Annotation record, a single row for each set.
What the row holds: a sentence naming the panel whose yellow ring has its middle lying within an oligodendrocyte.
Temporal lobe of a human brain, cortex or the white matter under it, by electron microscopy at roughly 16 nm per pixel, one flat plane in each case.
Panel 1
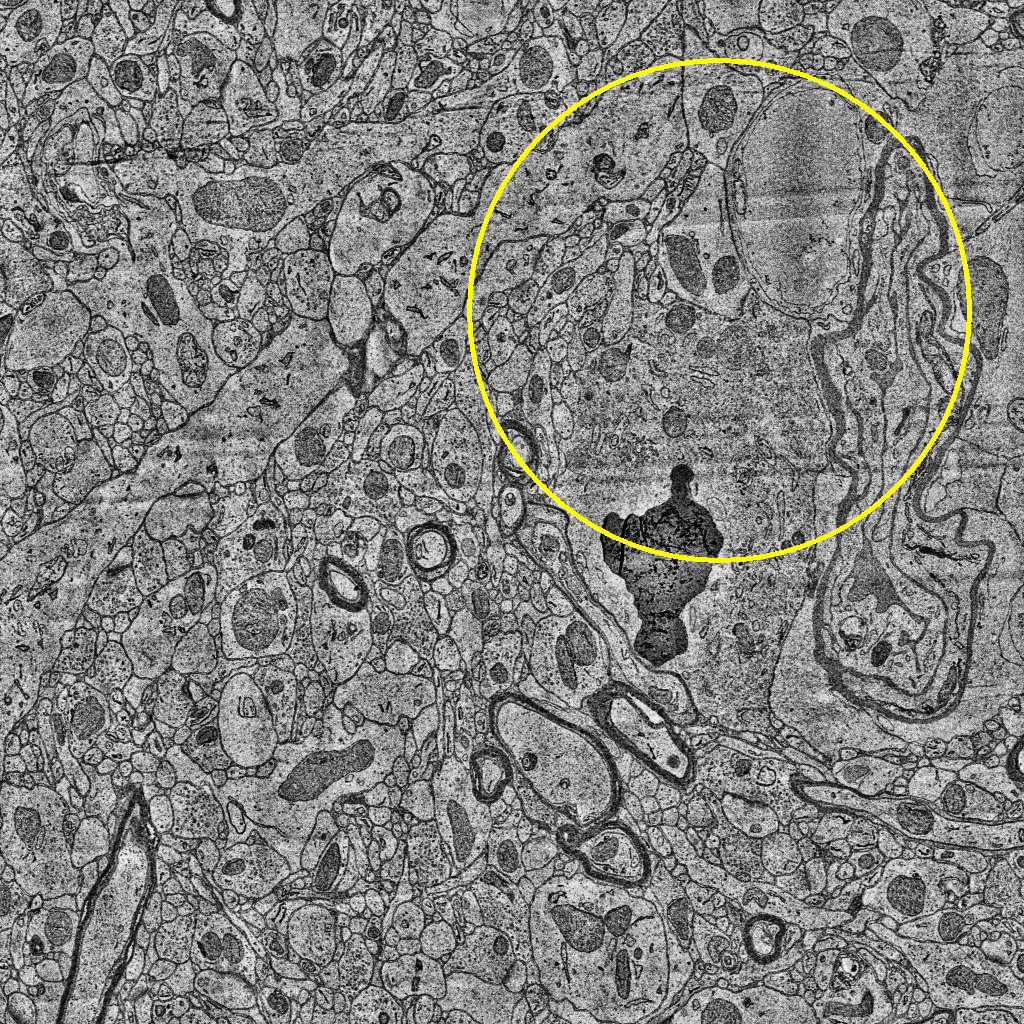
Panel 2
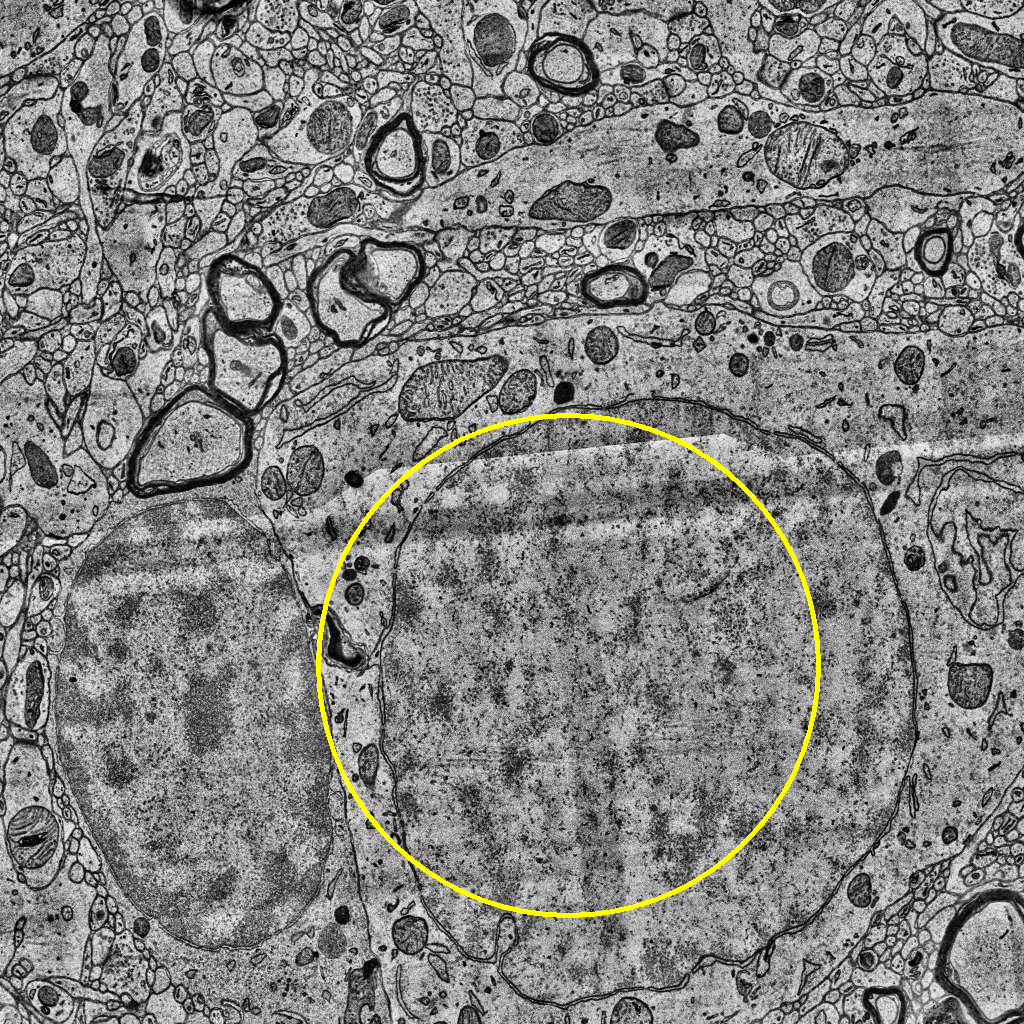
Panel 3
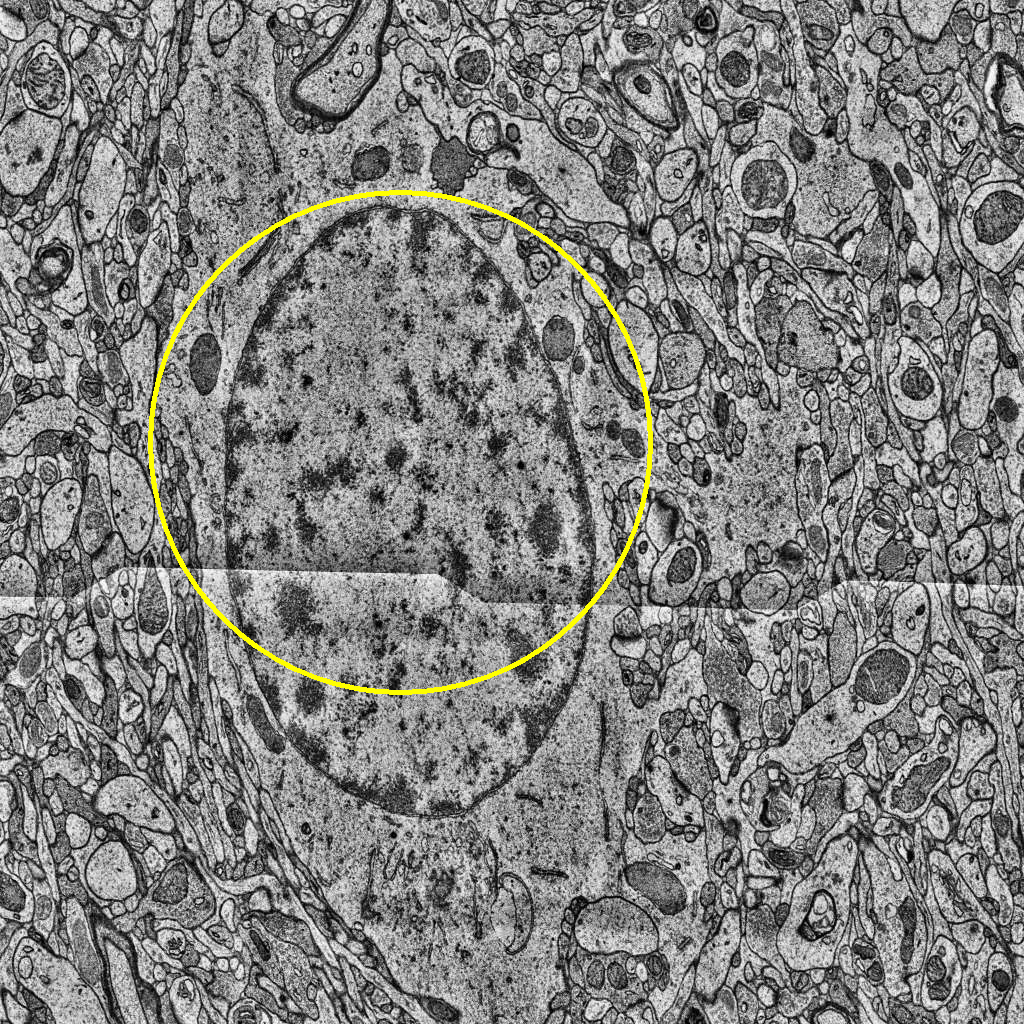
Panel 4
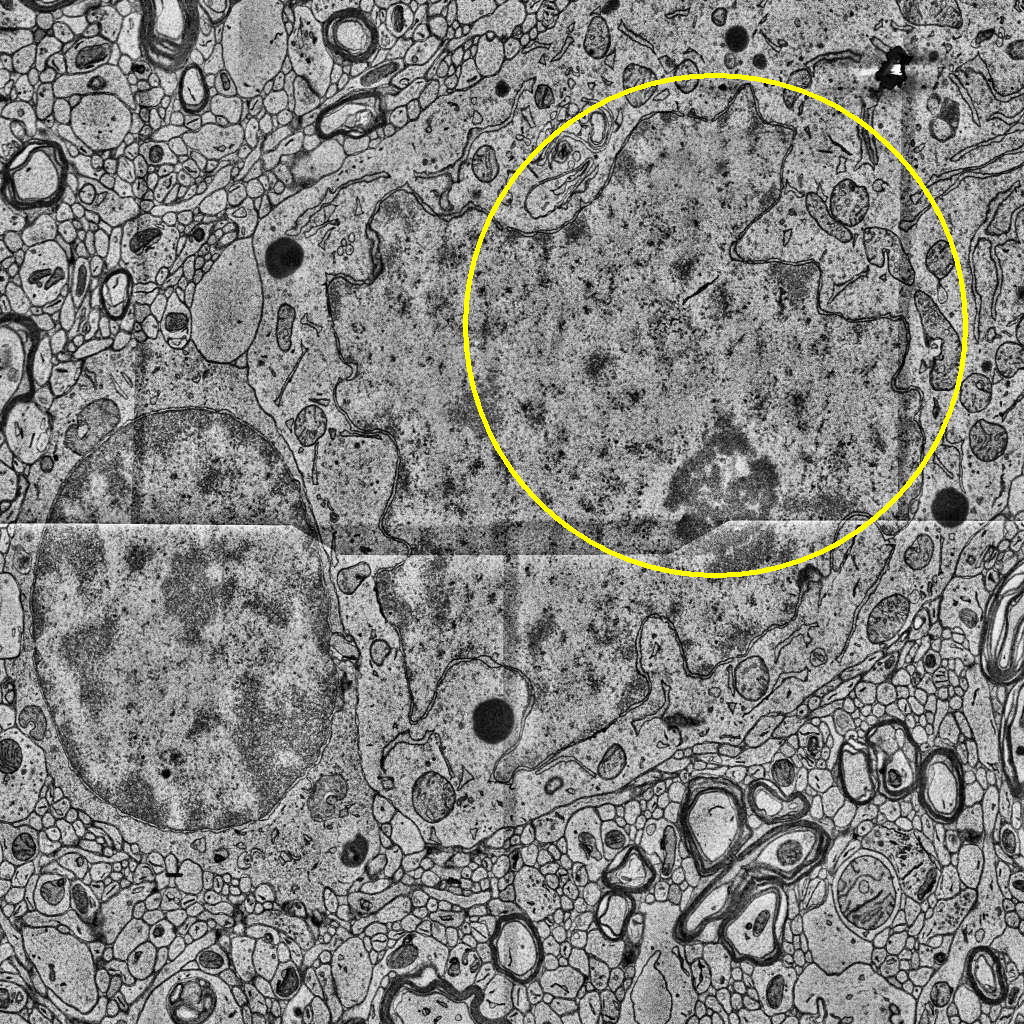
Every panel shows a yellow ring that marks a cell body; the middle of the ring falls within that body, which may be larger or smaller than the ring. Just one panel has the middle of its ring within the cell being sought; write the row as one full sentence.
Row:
In panel 1, the middle of the yellow ring lies within the cell that is sought.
